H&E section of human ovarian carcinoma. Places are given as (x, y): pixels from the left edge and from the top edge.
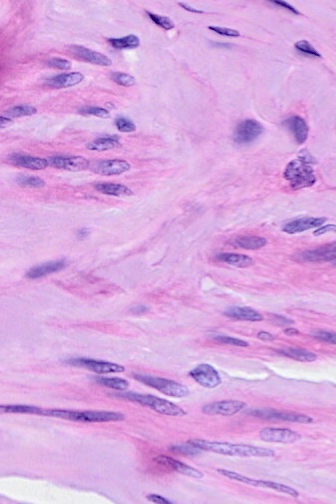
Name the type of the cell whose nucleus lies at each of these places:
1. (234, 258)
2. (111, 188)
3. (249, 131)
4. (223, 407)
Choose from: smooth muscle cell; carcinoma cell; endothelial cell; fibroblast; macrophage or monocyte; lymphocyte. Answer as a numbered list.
1. smooth muscle cell
2. smooth muscle cell
3. fibroblast
4. smooth muscle cell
